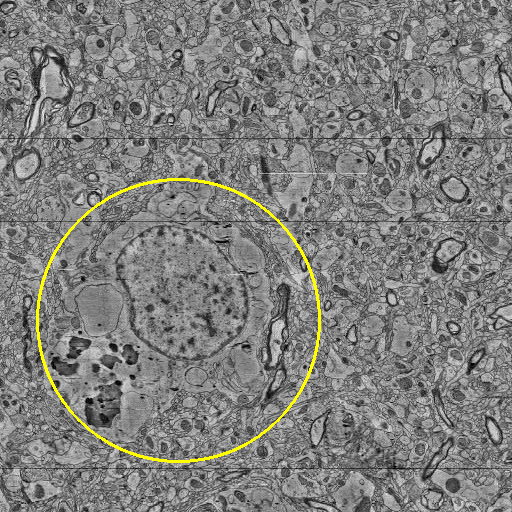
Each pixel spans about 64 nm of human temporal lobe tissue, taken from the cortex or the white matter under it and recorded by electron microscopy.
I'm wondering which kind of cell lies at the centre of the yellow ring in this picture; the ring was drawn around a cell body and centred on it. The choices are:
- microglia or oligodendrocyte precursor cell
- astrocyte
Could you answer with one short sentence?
At the centre of the ring lies an astrocyte.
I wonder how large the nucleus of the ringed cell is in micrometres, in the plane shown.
The nucleus of the ringed cell is approximately 9 micrometres across in this plane.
